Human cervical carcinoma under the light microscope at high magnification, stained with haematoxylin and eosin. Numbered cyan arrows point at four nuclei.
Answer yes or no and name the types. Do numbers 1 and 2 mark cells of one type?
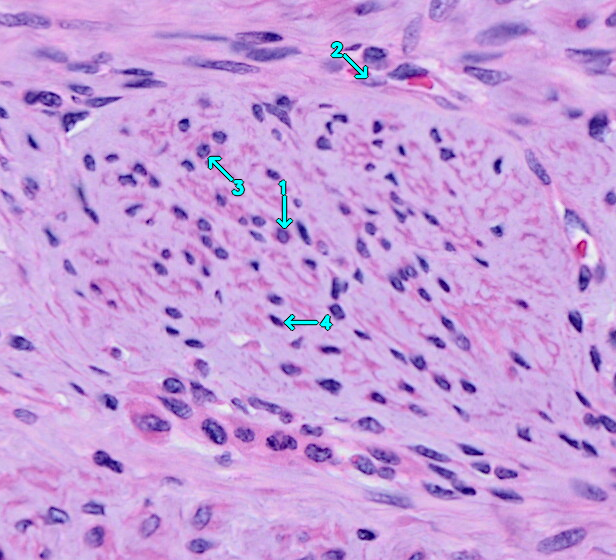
No, cell 1 is a smooth muscle cell and cell 2 is an endothelial cell.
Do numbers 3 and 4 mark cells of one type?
Yes, both are smooth muscle cells.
